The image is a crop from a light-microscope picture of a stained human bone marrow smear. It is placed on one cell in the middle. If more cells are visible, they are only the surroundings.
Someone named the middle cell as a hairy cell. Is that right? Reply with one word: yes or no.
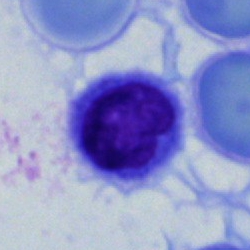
yes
